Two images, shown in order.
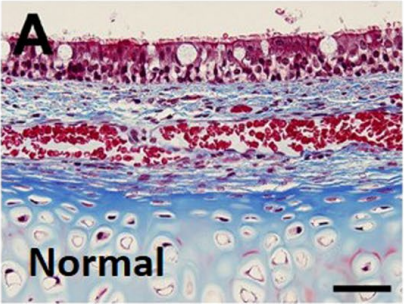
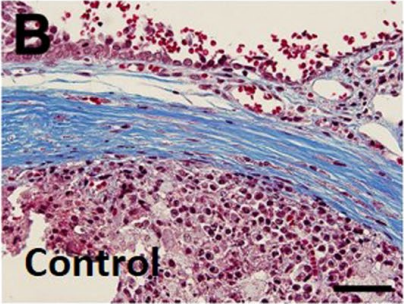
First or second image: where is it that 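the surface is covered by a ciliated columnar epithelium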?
The first image.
